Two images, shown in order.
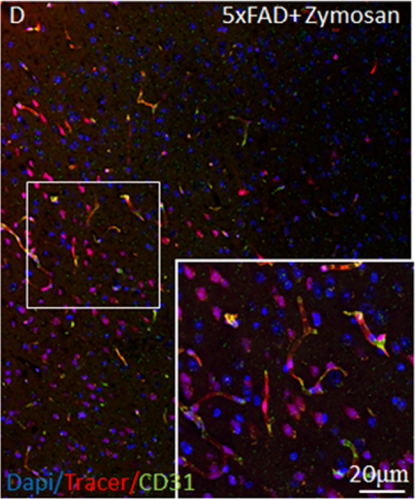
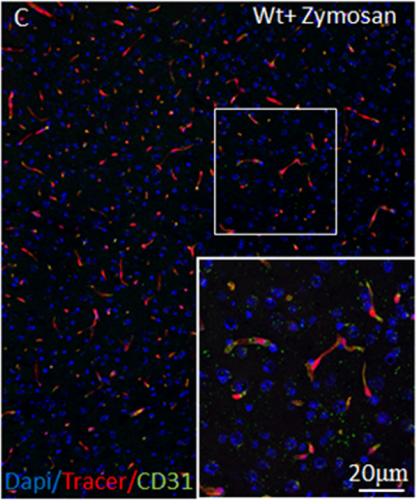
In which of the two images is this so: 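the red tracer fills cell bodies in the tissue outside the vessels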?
the first image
